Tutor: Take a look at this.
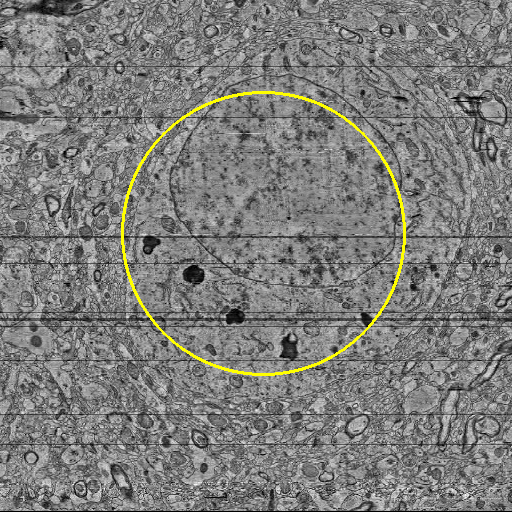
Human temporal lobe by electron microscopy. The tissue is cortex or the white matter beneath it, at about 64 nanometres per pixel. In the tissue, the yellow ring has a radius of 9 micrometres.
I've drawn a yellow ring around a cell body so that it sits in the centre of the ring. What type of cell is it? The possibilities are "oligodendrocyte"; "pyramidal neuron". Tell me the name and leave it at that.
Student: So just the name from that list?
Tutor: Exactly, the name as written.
pyramidal neuron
